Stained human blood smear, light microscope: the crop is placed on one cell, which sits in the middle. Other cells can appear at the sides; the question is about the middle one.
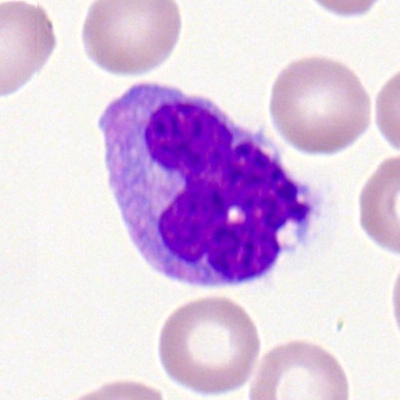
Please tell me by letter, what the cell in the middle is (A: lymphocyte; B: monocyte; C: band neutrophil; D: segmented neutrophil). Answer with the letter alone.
B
